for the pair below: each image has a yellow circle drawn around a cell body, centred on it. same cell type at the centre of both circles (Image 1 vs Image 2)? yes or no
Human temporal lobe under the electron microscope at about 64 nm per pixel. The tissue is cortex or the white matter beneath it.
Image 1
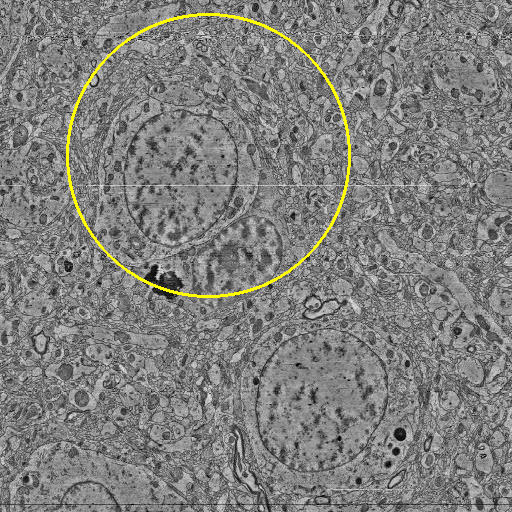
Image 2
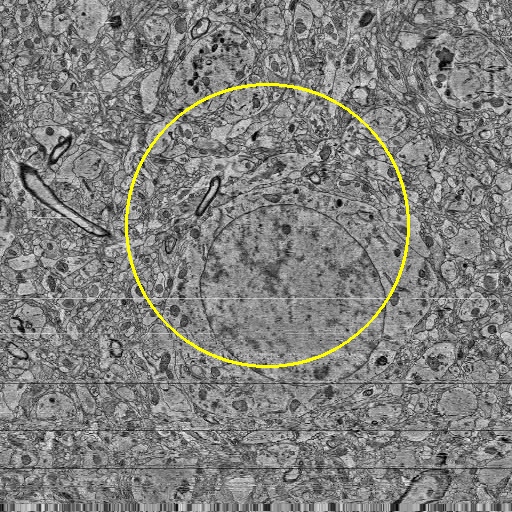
yes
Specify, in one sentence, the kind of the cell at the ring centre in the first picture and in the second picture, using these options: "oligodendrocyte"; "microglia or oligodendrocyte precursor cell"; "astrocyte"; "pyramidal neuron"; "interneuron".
In each of the two pictures, the ringed cell is a pyramidal neuron.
